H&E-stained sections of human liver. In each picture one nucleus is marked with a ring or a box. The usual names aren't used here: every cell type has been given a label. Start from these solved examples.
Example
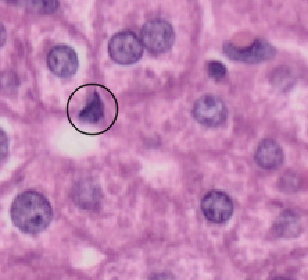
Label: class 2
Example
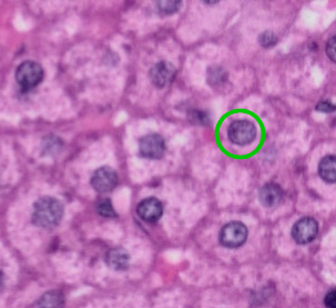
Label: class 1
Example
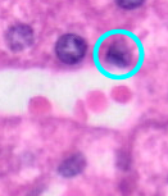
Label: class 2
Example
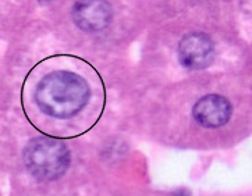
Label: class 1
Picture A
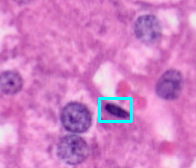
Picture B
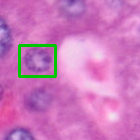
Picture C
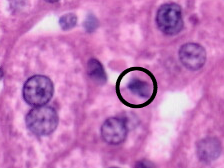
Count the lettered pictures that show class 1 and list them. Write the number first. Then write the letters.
1, namely B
